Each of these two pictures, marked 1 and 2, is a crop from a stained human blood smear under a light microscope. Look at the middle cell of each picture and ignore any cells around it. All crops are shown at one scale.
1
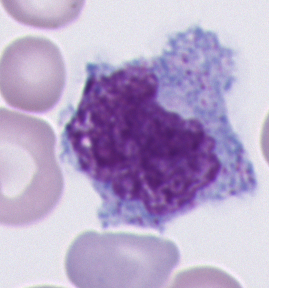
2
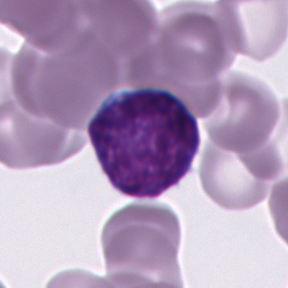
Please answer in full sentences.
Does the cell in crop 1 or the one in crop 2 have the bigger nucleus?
Crop 1 shows the larger nucleus; it covers about 1.5 times the area of the nucleus in crop 2.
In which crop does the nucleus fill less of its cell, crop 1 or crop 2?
Of the two, the nucleus in crop 1 leaves more room for cytoplasm.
